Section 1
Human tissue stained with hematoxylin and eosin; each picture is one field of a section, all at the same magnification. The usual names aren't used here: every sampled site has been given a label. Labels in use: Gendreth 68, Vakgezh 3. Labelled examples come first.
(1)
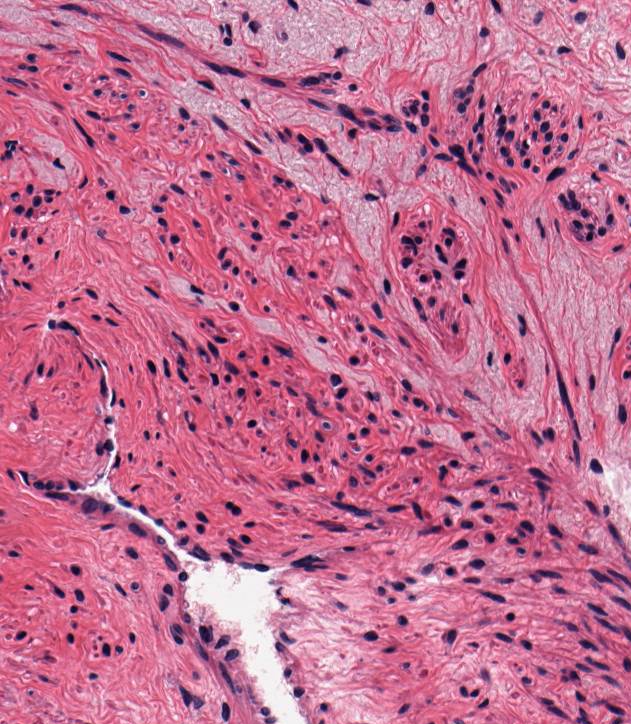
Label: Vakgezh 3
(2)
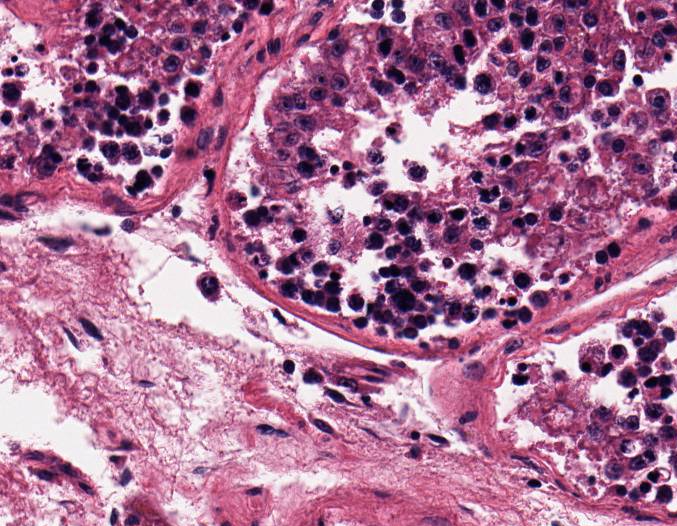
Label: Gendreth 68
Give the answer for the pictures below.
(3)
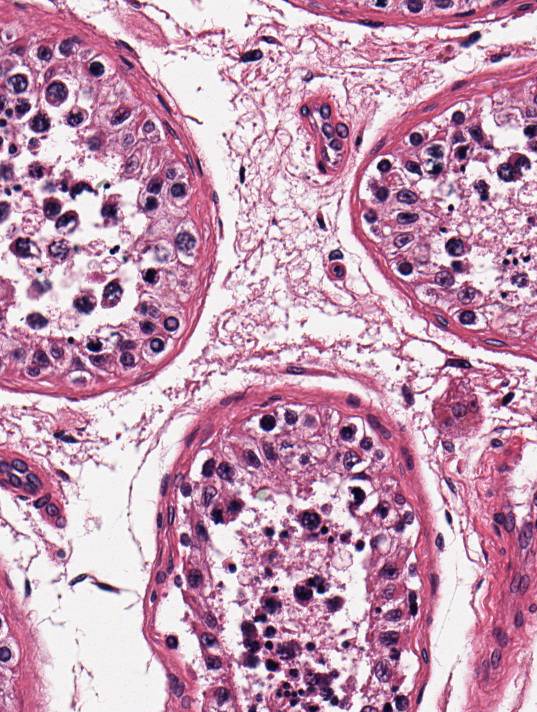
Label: Gendreth 68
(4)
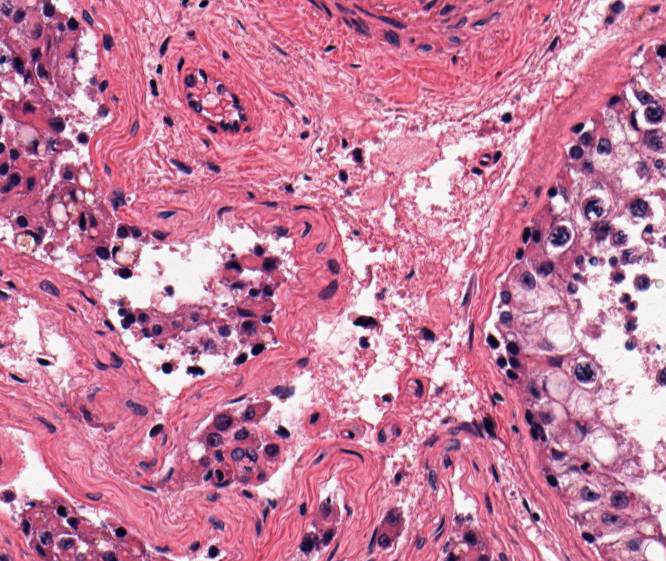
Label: Gendreth 68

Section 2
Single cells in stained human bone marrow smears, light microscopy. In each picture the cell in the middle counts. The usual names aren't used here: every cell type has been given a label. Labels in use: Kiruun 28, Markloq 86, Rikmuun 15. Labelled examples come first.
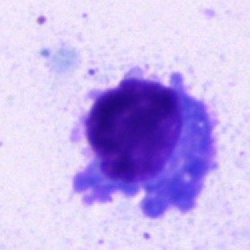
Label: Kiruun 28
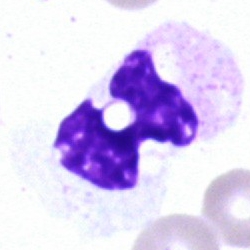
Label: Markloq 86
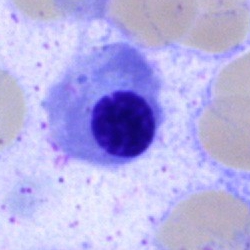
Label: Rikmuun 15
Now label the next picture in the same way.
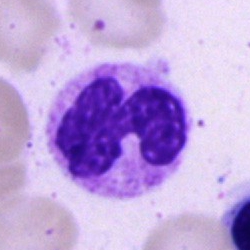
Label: Markloq 86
